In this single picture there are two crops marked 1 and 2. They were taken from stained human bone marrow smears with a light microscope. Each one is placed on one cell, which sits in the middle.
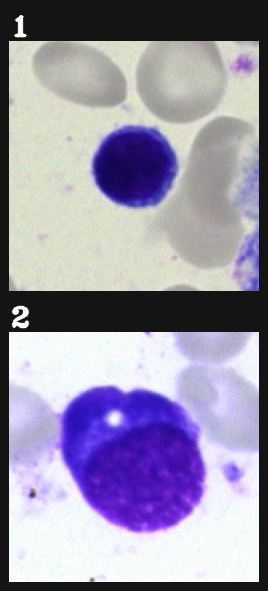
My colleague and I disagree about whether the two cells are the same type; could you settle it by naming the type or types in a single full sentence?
No, a plasma cell is the cell in crop 2, and crop 1 contains a lymphocyte.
